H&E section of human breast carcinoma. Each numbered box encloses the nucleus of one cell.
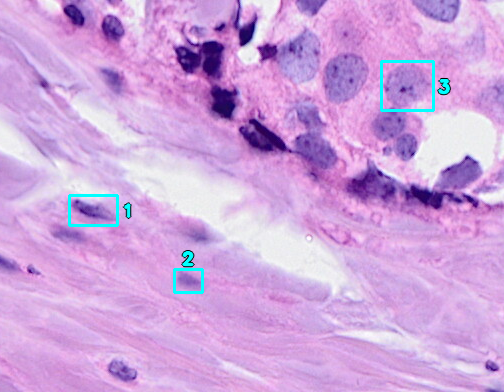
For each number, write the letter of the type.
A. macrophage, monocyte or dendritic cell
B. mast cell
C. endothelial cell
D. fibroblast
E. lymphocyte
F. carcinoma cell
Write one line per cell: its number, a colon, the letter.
1: D
2: D
3: F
